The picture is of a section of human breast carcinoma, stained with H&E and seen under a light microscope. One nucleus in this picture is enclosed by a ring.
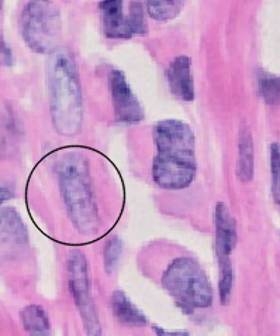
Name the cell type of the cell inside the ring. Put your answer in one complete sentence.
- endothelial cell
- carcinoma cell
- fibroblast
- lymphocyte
As classified here, the cell inside the ring is an endothelial cell.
